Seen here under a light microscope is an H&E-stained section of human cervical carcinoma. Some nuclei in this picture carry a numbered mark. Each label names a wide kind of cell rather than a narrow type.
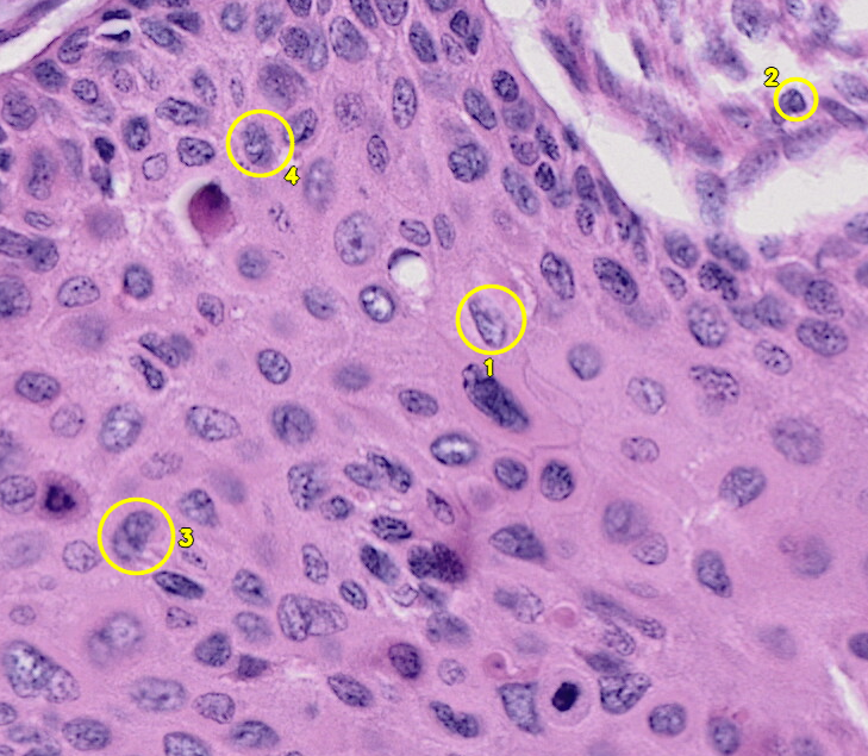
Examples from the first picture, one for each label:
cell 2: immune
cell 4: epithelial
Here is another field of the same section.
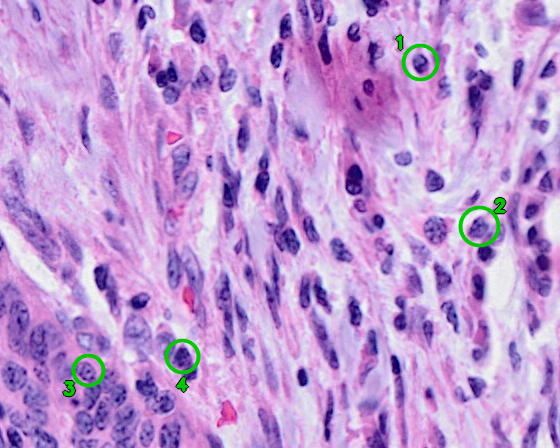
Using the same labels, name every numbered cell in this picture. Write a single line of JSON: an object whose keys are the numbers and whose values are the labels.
{"1": "immune", "2": "immune", "3": "epithelial", "4": "immune"}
